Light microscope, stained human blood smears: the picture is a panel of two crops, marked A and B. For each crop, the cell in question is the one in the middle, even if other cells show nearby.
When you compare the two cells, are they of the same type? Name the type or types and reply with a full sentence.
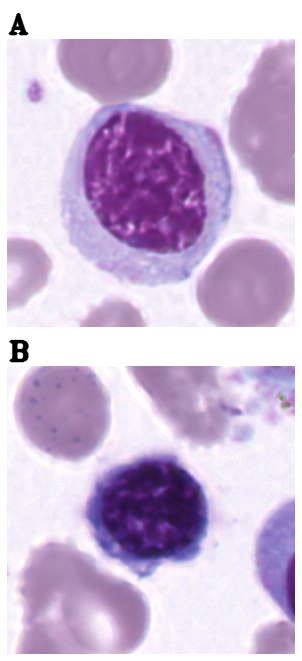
Yes, both crops show plasma cells in their central position.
